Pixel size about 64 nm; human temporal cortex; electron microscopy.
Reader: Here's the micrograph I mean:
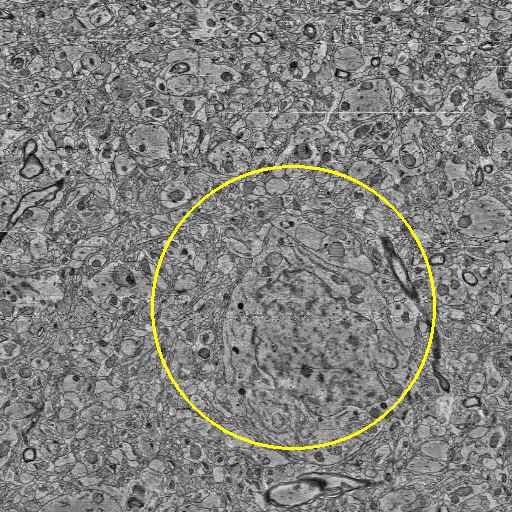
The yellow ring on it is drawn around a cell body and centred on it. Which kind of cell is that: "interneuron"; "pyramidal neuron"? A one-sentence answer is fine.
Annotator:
The ring is centred on an interneuron.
